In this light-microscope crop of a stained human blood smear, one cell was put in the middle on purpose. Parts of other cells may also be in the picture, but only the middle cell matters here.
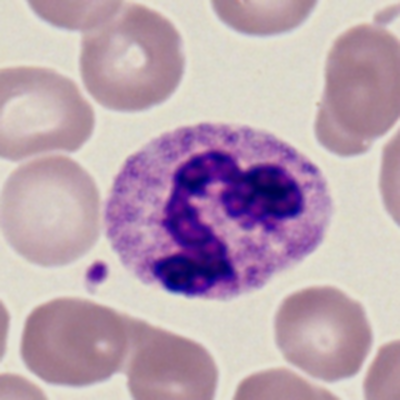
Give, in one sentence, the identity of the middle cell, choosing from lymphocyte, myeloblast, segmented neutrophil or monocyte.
To answer, the cell in the center of the crop is a segmented neutrophil.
